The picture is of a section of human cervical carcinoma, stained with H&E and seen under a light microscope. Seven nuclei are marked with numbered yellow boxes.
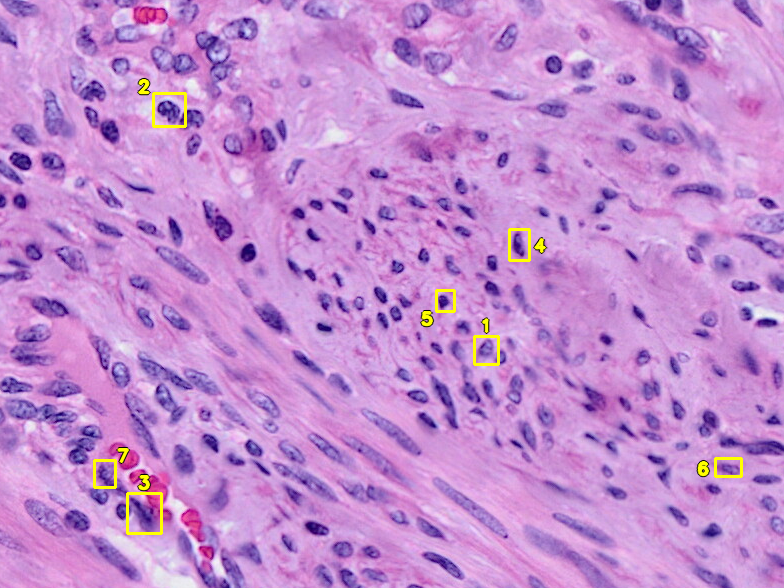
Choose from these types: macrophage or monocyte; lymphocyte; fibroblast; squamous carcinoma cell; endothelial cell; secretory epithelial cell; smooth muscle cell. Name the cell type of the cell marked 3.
endothelial cell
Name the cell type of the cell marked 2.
lymphocyte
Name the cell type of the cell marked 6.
smooth muscle cell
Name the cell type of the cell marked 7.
endothelial cell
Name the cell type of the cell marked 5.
smooth muscle cell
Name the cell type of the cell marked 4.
fibroblast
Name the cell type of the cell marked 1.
smooth muscle cell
